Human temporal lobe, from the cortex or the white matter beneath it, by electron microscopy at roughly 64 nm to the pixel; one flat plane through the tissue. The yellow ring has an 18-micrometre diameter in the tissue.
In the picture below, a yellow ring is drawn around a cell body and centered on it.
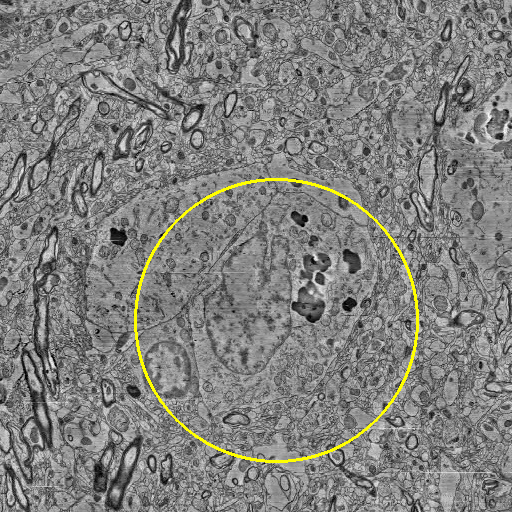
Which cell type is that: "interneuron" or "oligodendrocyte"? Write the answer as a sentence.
The cell centered in the ring is an interneuron.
